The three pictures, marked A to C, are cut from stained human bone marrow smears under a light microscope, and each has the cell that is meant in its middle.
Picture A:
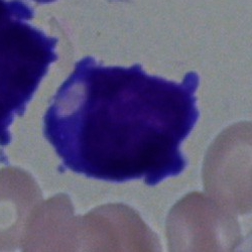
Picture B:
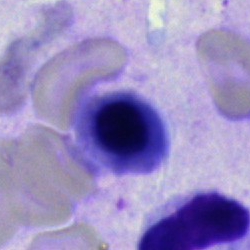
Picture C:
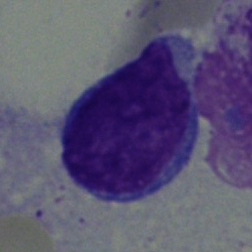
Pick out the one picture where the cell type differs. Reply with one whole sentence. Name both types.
The different one is picture B; it shows an erythroblast, whereas all the others show blasts.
